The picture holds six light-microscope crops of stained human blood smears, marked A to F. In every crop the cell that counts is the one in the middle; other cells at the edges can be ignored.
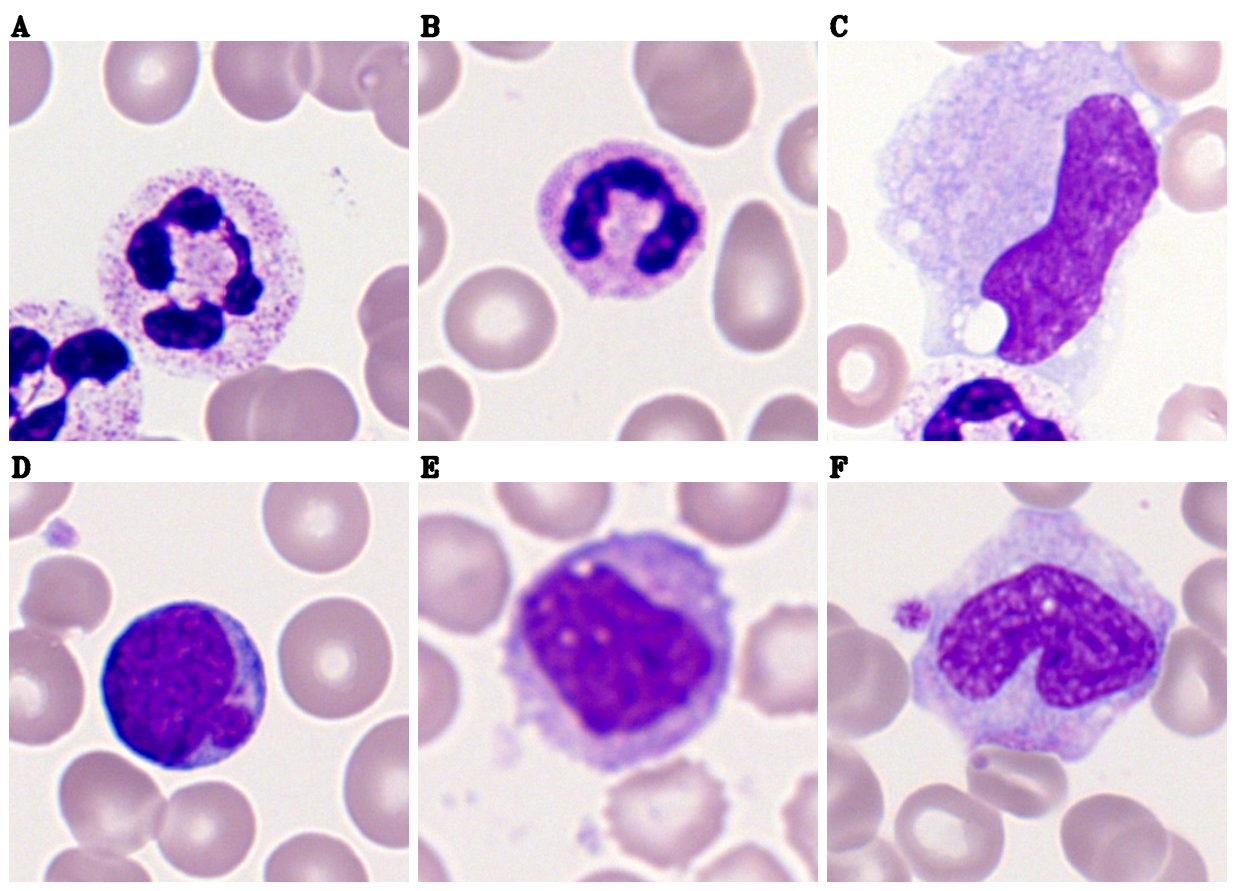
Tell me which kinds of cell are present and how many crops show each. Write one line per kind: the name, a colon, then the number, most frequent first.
monocyte: 3
segmented neutrophil: 2
myeloblast: 1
